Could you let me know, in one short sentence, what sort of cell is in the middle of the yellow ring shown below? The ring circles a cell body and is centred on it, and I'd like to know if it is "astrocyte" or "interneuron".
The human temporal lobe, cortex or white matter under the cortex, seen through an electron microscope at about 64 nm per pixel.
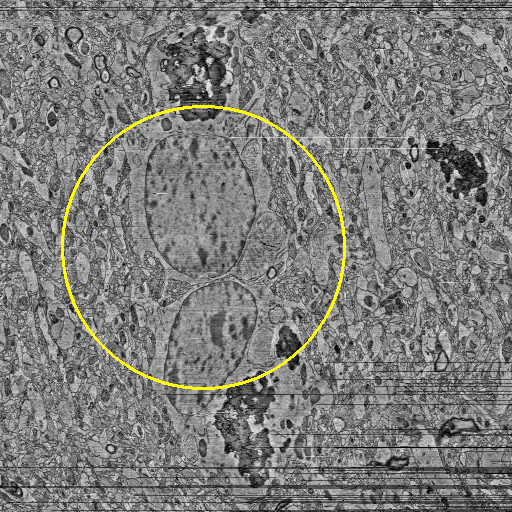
The ring circles the cell body of an astrocyte.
